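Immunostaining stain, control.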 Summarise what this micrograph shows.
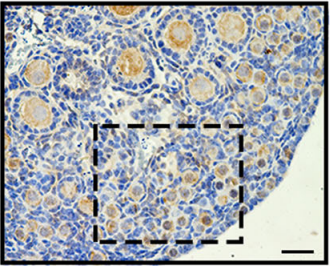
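This is a close view of ovarian cortex packed with primordial follicles. Each one is a small round oocyte with a large round nucleus, wrapped by a thin layer of flattened blue-stained somatic cells. The stroma between the follicles is made of blue-nucleated spindle-shaped cells without brown stain.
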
